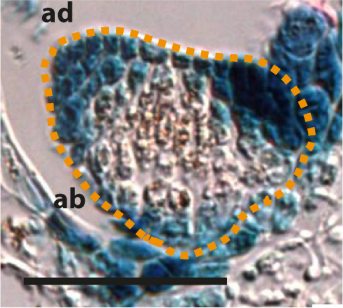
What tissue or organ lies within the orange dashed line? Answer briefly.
leaf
